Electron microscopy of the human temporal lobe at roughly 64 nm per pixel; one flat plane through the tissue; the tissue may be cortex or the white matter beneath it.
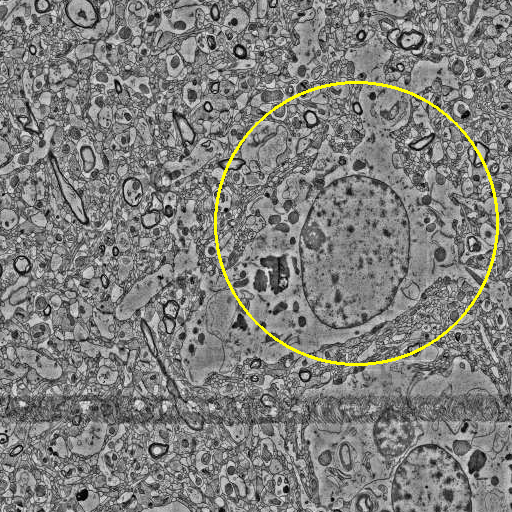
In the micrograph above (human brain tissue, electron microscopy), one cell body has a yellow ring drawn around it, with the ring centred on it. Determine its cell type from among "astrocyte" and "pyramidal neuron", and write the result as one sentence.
The cell whose body is ringed is an astrocyte.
